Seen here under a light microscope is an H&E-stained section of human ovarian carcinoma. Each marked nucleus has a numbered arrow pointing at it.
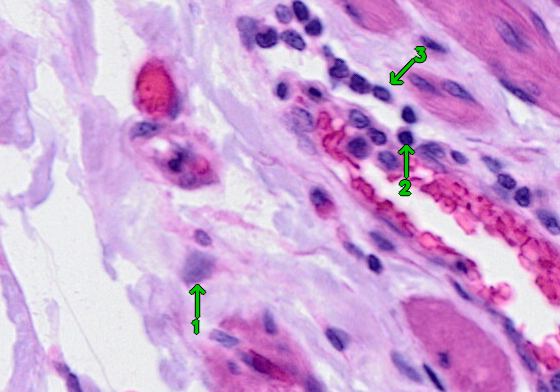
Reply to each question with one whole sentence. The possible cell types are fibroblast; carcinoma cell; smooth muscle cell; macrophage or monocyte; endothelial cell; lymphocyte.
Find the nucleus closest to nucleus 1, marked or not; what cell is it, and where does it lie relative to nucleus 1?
The closest nucleus belongs to a macrophage or monocyte and sits above nucleus 1.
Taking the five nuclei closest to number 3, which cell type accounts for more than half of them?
Most of the five nuclei nearest to number 3 are those of lymphocytes.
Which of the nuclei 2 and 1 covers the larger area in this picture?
Nucleus 1 covers more area, about 3 times as much as nucleus 2.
